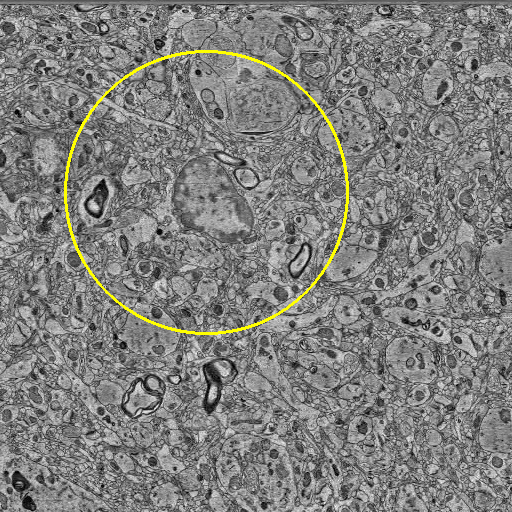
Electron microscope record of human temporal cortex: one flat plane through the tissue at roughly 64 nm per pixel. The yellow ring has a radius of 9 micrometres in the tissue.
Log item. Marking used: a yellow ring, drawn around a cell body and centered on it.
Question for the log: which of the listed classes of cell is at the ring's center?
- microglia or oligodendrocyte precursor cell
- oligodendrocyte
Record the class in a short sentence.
At the center of the ring lies a microglial cell or oligodendrocyte precursor cell.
